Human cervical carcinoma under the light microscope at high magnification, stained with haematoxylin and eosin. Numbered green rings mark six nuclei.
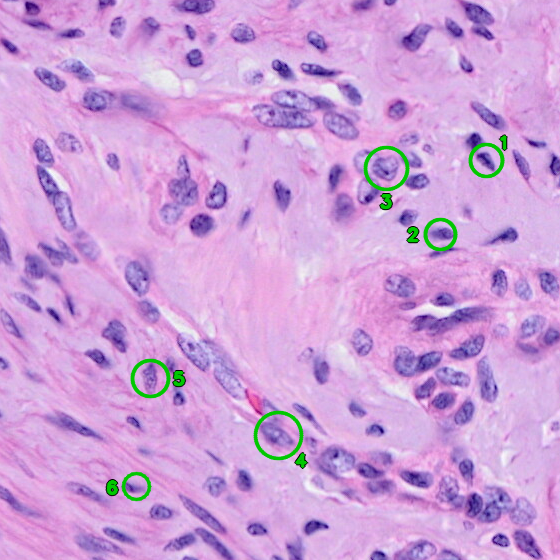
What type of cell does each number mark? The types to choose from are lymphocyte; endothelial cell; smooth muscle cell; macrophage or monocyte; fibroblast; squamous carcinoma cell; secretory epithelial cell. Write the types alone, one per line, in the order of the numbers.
fibroblast
fibroblast
endothelial cell
endothelial cell
smooth muscle cell
smooth muscle cell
